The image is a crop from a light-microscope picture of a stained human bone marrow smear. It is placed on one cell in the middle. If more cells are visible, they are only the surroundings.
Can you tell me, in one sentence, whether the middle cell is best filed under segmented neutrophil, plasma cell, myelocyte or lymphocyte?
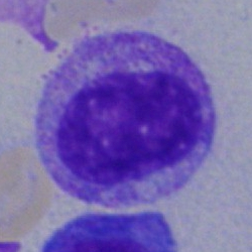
The centrally positioned cell in the crop represents a myelocyte.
